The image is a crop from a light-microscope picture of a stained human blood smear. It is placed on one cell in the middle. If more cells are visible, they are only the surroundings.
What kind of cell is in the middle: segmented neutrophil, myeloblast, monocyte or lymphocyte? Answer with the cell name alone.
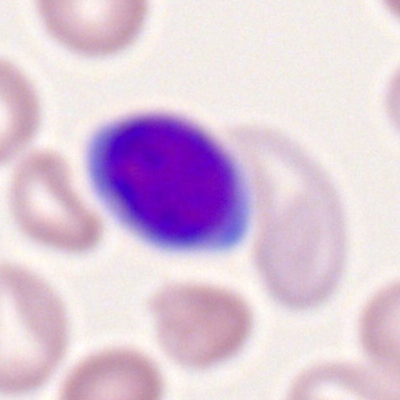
lymphocyte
